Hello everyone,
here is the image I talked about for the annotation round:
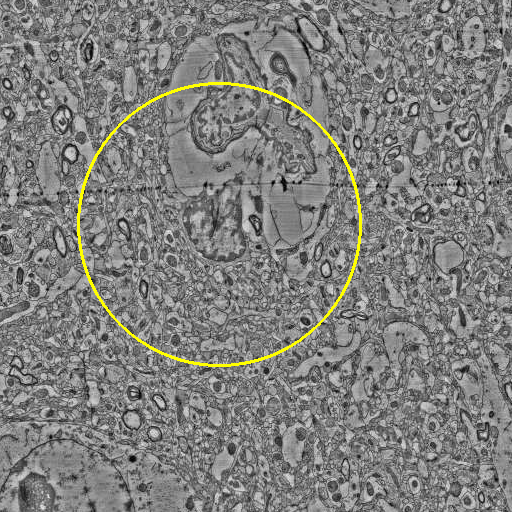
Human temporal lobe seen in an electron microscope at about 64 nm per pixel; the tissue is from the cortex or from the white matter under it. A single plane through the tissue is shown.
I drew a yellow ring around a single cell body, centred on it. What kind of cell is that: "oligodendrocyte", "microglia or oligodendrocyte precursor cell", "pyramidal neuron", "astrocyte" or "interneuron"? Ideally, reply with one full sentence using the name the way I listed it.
The cell your yellow ring is centred on is an oligodendrocyte, going by your list.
